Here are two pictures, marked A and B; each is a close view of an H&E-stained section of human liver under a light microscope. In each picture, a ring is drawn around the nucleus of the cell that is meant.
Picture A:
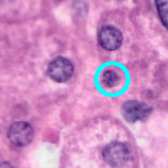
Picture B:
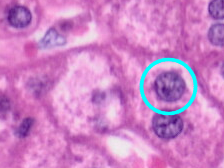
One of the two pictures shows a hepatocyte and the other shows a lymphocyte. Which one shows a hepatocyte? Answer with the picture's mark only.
B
